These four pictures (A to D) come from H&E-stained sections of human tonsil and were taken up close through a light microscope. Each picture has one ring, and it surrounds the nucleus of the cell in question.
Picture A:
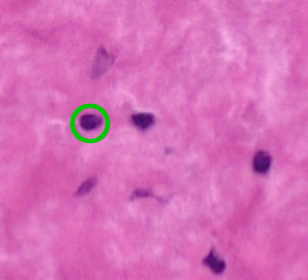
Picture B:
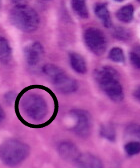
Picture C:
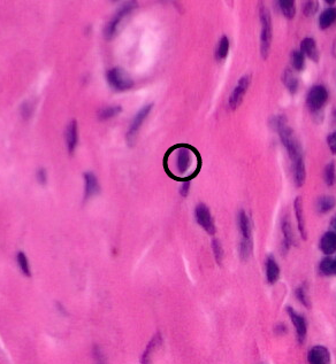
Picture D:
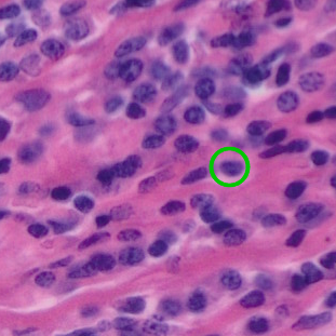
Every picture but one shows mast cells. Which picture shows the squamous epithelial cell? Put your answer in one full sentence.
The cell in picture B is the squamous epithelial cell.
